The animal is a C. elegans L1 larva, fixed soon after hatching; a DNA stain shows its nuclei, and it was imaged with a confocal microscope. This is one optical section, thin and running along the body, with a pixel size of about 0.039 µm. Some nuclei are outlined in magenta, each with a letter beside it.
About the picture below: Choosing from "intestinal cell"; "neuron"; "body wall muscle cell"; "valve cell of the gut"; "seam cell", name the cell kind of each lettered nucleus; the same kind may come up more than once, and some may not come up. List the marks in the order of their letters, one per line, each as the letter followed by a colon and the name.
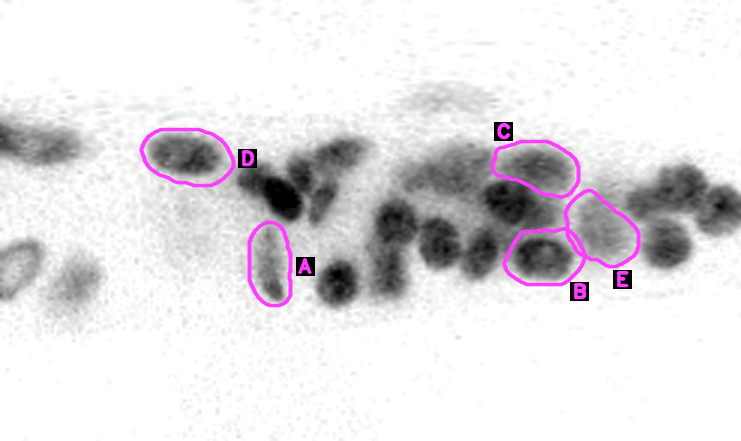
A: valve cell of the gut
B: body wall muscle cell
C: body wall muscle cell
D: intestinal cell
E: seam cell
